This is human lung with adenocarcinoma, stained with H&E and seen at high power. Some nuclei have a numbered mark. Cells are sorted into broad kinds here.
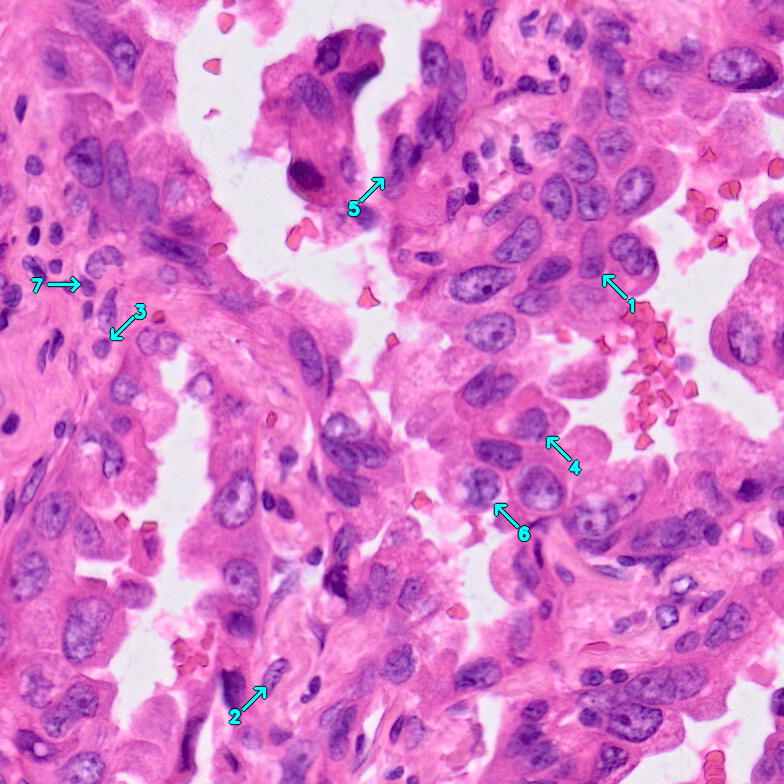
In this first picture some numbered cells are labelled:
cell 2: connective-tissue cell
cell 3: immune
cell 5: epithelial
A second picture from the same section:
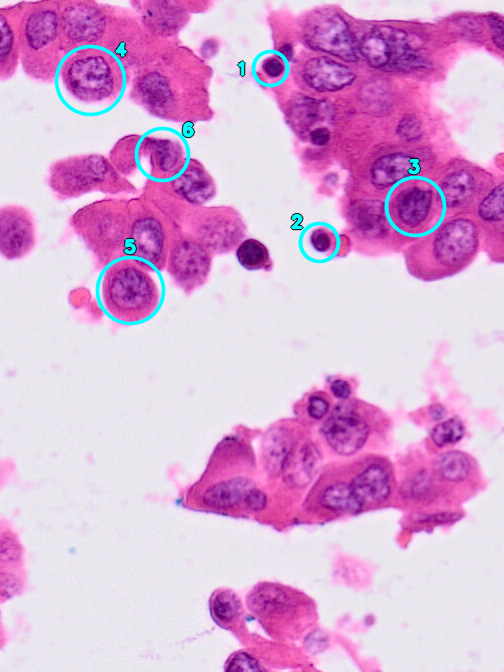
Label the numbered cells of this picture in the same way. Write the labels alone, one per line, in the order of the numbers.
immune
immune
epithelial
epithelial
epithelial
epithelial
